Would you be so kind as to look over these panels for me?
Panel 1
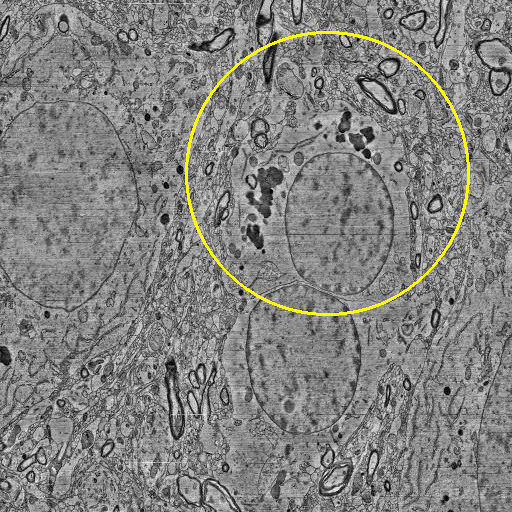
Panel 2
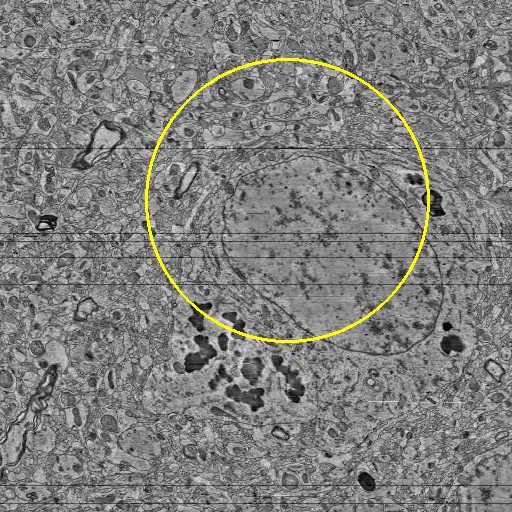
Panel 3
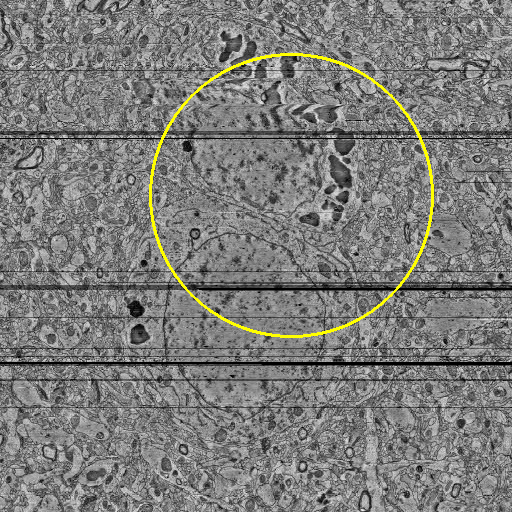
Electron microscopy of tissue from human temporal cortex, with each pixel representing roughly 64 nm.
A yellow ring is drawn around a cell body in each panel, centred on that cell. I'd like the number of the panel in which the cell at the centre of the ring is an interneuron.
3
